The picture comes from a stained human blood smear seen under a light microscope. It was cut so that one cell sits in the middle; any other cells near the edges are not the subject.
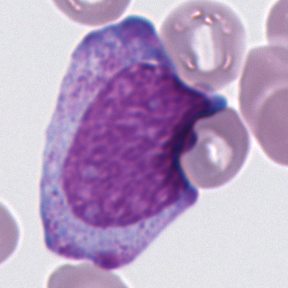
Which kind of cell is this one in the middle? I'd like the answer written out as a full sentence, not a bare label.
In the centre of this crop there is an atypical promyelocyte.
